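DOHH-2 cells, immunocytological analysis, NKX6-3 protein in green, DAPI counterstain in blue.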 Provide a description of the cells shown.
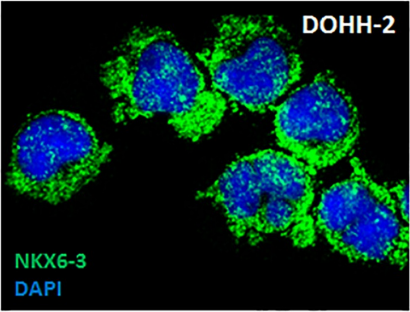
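The green label is coarse and granular. It lies mainly in this rim of cytoplasm, crowding around the nucleus and reaching out to the cell edge, where the outline is a little irregular. A few fine green dots also lie over the blue nuclei. There are no long processes or distinct layers.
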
